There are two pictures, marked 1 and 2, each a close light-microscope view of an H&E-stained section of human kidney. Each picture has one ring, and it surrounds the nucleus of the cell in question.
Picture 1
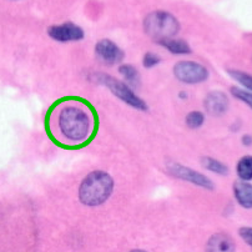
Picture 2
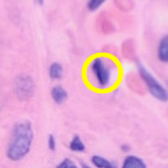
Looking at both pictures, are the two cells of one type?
no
